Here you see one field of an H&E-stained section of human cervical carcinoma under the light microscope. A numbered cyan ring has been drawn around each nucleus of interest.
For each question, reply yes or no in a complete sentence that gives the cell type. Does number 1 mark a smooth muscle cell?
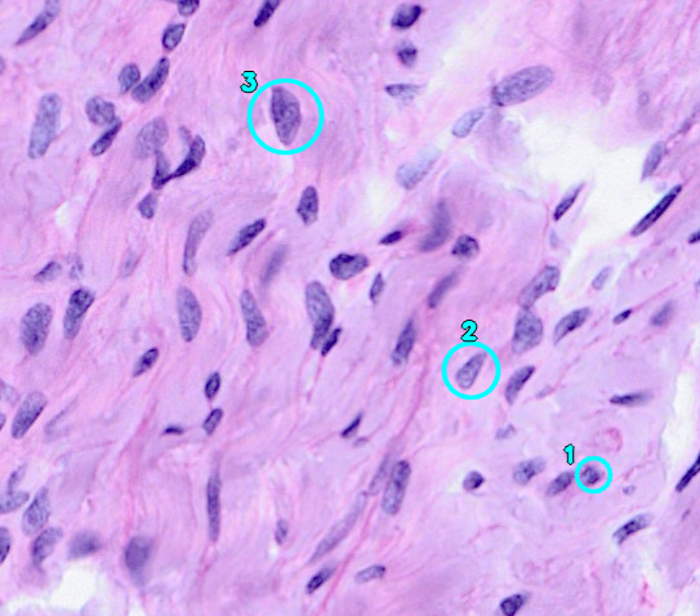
Yes, the cell distinguished by number 1 is a smooth muscle cell.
